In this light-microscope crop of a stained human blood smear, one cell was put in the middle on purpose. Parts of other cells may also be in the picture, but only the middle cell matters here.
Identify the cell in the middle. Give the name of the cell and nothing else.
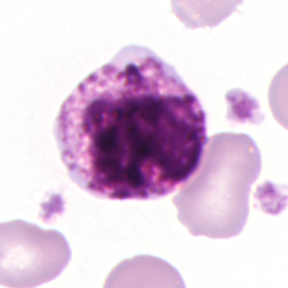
basophil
